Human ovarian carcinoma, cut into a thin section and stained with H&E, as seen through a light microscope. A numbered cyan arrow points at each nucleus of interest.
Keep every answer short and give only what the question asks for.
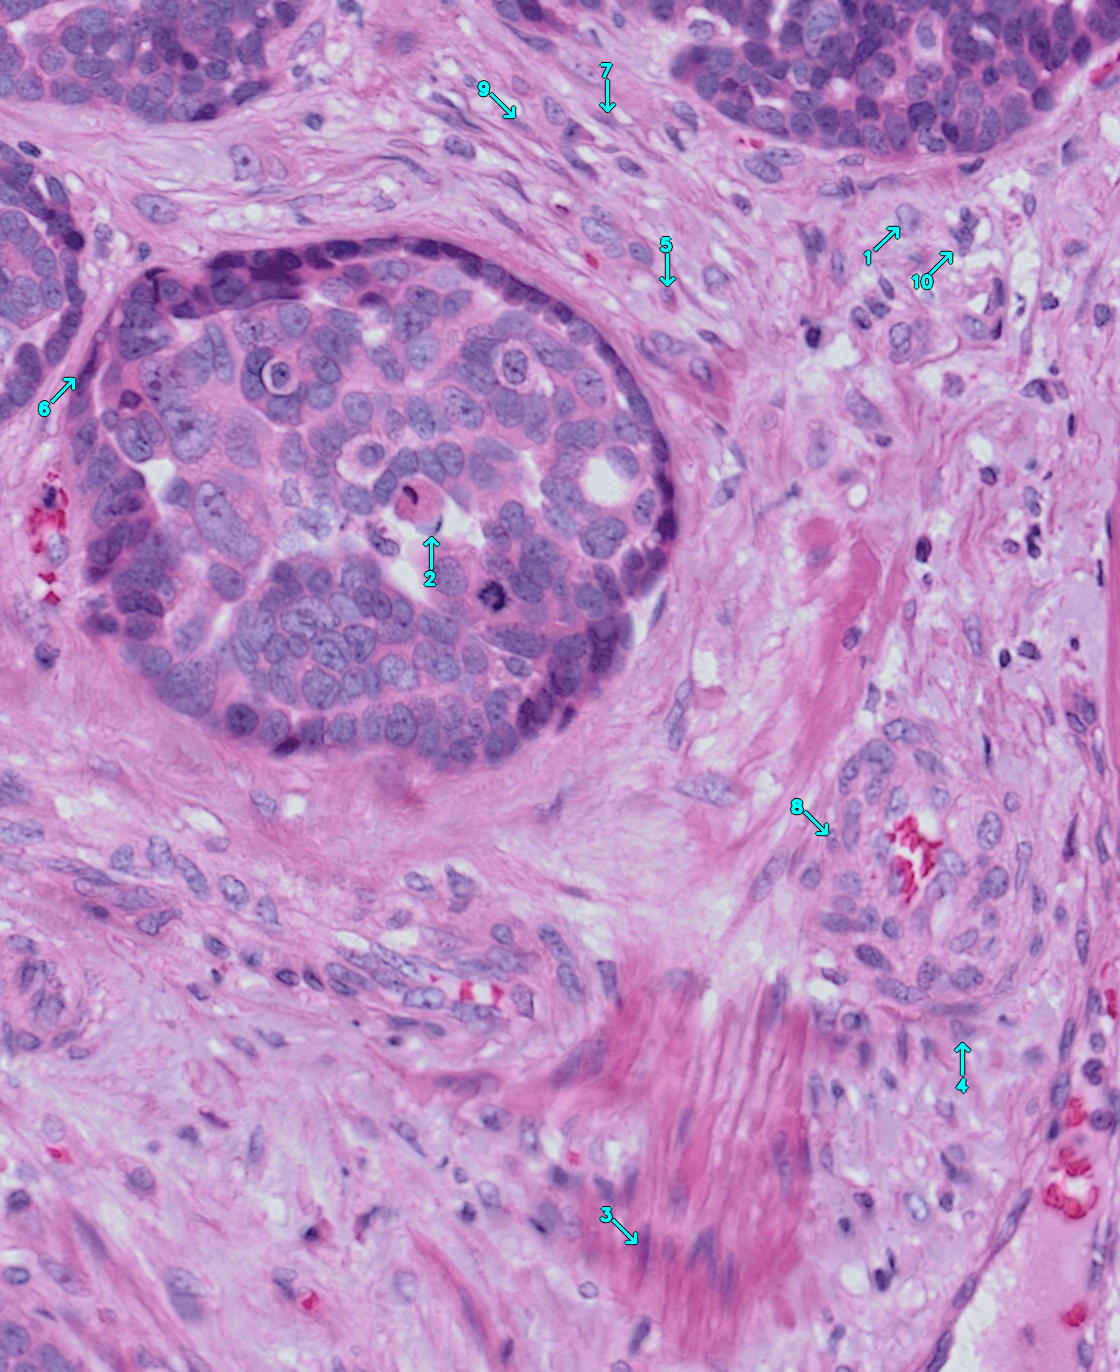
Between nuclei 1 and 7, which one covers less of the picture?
7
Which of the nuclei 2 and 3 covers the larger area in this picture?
3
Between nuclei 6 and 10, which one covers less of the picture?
10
